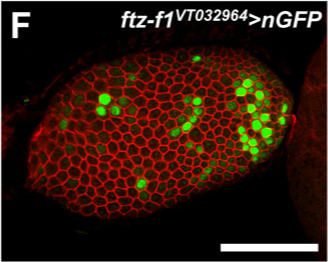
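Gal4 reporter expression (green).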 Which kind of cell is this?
Main body follicle cells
